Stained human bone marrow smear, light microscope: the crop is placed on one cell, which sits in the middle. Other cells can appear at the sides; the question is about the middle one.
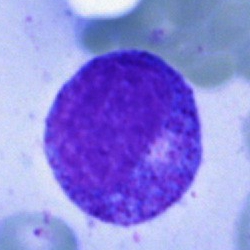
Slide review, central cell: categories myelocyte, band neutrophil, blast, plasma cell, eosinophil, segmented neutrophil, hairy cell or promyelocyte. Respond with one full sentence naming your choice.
Located at the centre of the crop is a promyelocyte.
